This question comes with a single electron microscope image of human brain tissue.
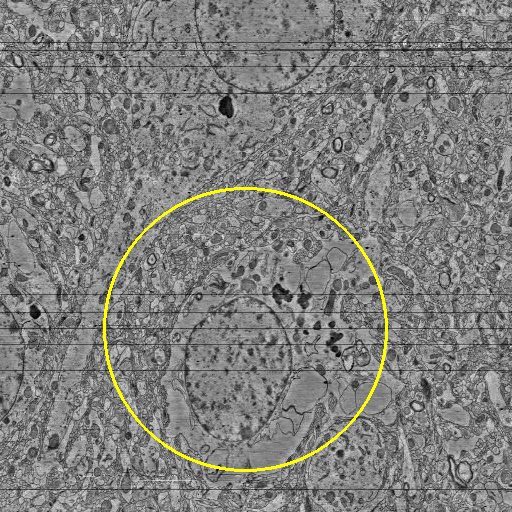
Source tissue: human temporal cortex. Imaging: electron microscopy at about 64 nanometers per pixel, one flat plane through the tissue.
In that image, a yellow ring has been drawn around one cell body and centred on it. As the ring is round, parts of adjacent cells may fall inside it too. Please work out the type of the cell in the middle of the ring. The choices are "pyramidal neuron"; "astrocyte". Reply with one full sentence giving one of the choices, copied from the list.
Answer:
Of the choices, an astrocyte is the cell sitting in the middle of the ring.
